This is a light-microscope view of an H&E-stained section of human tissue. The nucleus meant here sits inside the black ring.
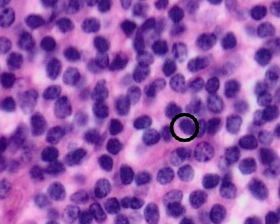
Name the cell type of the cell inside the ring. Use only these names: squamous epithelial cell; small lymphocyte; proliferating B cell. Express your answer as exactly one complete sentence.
In this section of tissue, the cell inside the ring is a small lymphocyte.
